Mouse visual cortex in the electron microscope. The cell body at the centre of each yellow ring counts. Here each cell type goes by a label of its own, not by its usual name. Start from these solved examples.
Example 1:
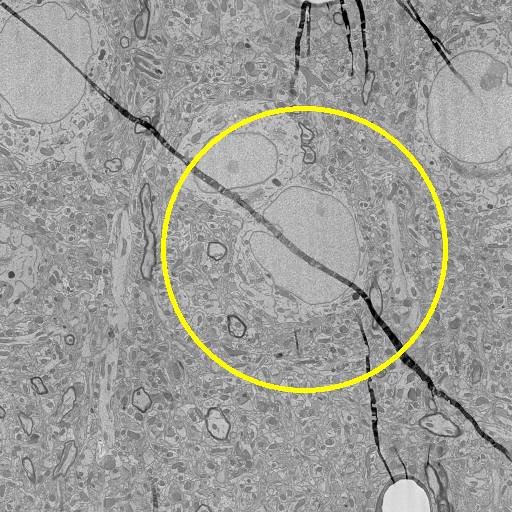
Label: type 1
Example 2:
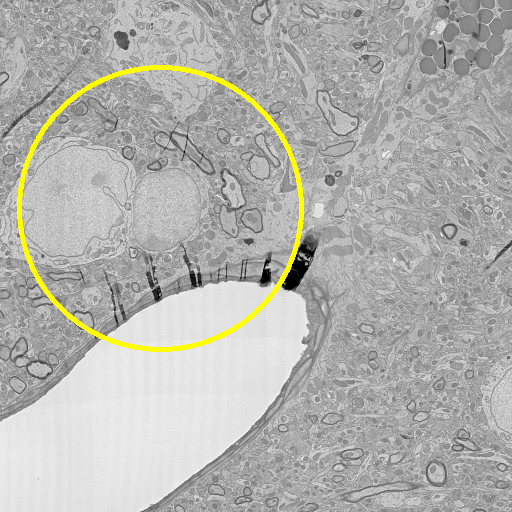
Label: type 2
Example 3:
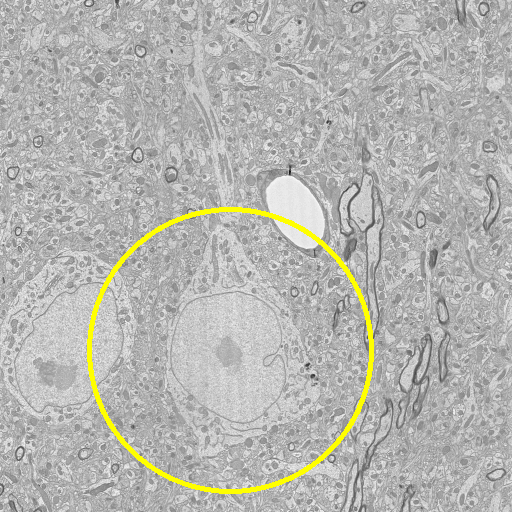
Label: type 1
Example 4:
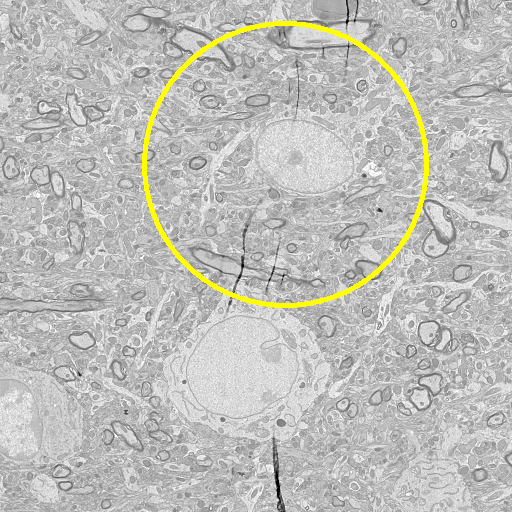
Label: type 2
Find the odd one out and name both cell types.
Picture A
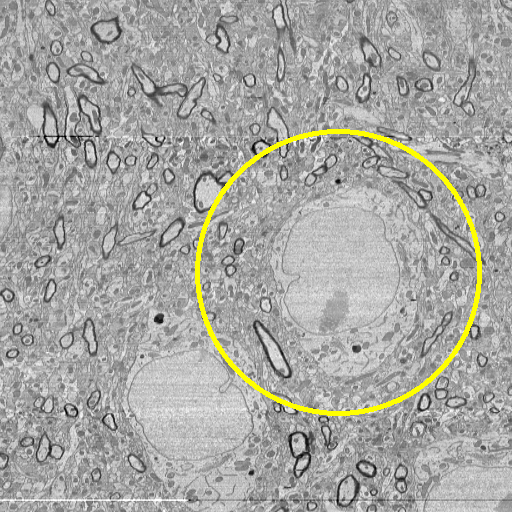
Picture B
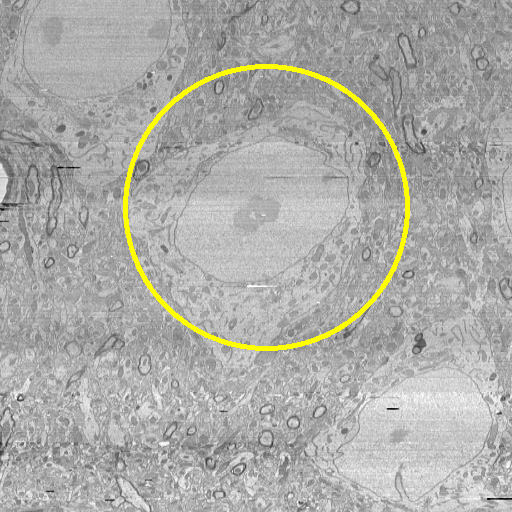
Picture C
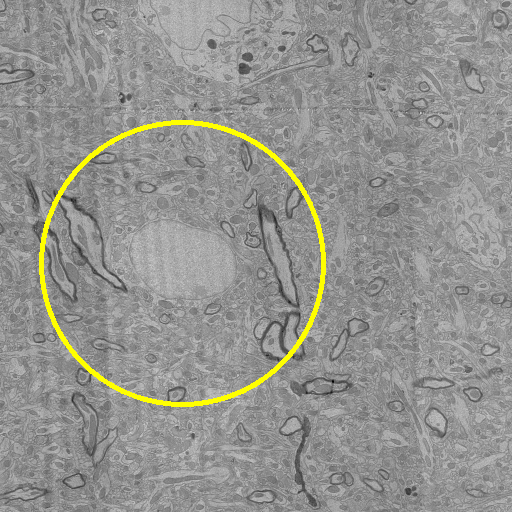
C: type 2; all the others: type 1.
